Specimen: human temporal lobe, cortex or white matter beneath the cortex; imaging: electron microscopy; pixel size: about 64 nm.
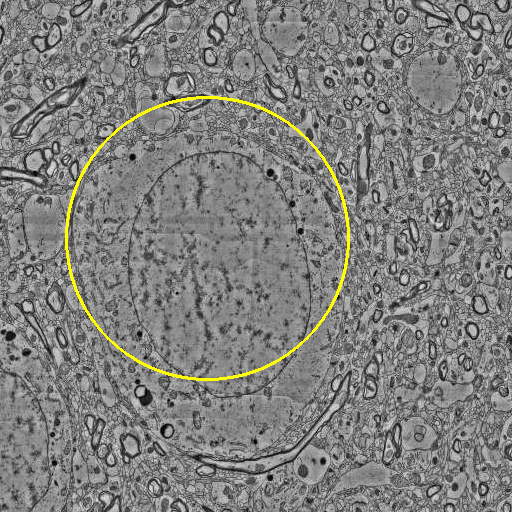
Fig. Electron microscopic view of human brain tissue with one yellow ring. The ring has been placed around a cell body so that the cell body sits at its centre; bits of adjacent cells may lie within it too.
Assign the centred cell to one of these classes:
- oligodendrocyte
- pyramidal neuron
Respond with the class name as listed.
pyramidal neuron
